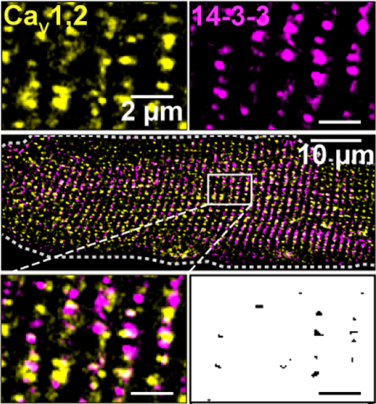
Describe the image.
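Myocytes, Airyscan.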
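This is a single heart muscle cell, a cardiomyocyte, seen as a long rectangular cell outlined by a dashed line. Both labels are laid out in regular transverse stripes that repeat along the length of the cell, giving it a striated look. In the enlarged views the yellow label forms short bands and the magenta label forms rounded spots along the same stripes, sometimes touching or overlapping.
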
